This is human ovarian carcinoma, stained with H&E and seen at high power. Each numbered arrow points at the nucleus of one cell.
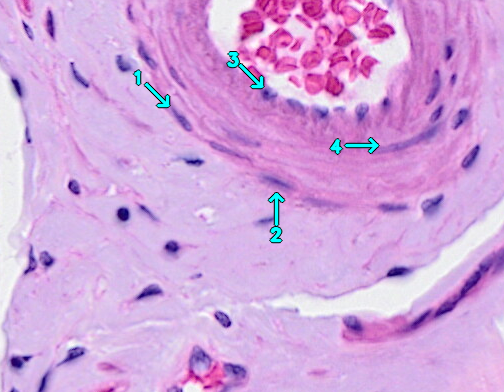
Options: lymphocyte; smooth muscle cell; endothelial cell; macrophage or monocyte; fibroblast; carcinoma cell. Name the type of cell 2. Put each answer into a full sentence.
The mark numbered 2 indicates the nucleus of a smooth muscle cell.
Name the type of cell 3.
In the marked set, the cell given number 3 is an endothelial cell.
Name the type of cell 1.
The numeral 1 marks a smooth muscle cell in this section.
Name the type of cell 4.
The cell with the number 4 is a smooth muscle cell.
